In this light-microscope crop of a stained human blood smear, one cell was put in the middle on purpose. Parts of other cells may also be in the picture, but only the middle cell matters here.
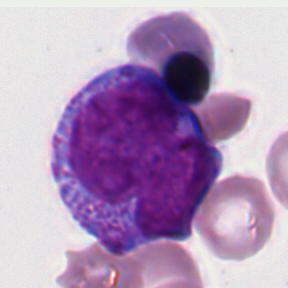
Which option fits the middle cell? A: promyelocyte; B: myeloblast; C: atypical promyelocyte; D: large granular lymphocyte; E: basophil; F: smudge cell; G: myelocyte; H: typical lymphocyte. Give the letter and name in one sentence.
The central cell is a promyelocyte, which makes option A the right answer.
